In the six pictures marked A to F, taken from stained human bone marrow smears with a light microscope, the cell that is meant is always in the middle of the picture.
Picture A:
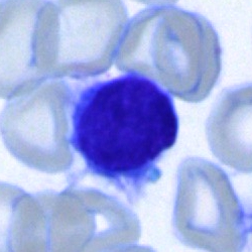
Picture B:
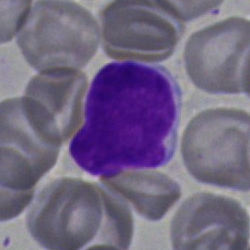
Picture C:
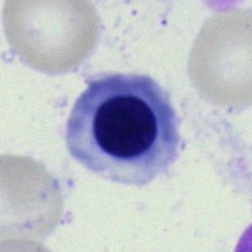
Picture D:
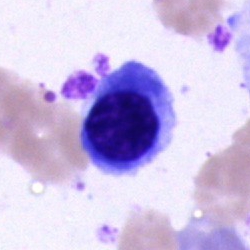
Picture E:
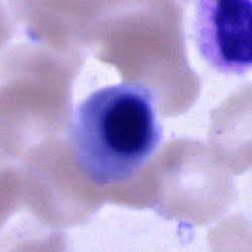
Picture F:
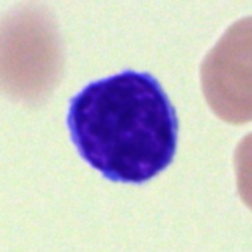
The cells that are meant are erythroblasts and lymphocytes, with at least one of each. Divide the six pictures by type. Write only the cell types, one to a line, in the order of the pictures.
lymphocyte
lymphocyte
erythroblast
erythroblast
erythroblast
lymphocyte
